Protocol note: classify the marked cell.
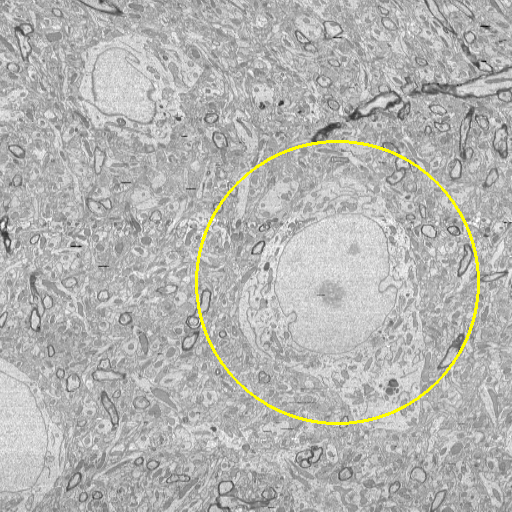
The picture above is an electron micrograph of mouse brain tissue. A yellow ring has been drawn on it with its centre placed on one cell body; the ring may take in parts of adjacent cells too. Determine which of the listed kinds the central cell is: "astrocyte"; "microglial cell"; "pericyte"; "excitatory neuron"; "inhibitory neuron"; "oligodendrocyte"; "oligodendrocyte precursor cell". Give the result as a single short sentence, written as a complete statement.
The central cell is an inhibitory neuron.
